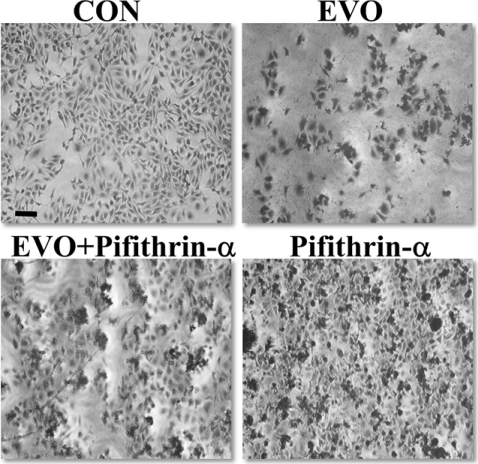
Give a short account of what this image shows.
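In the upper right field fewer cells remain. Many are rounded, small and densely stained dark, and they gather in irregular clumps with wide empty areas between. The two lower fields are crowded and show a mixture of flattened cells and dark, rounded cells.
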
